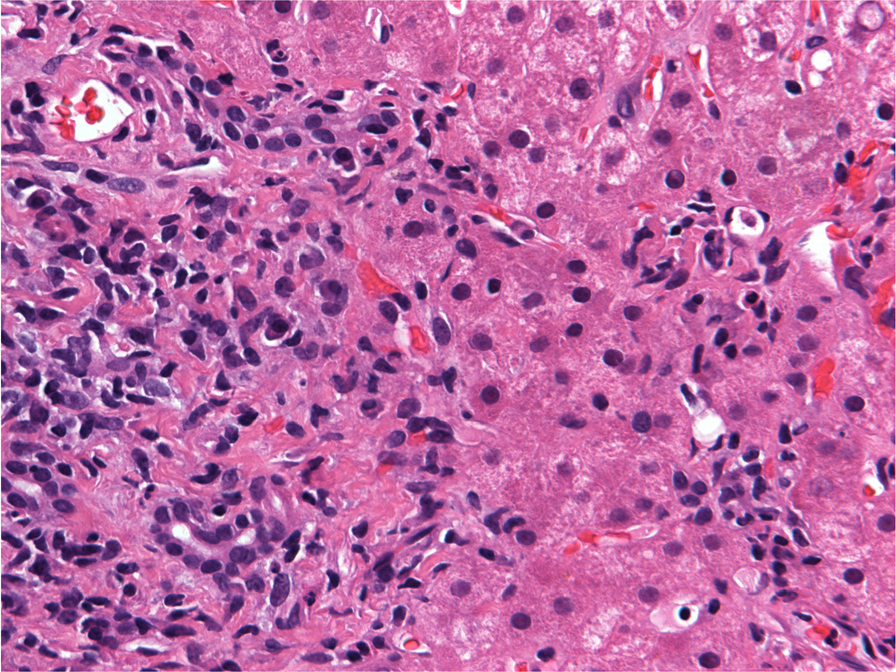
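This field shows liver with a portal tract on the left, heavily infiltrated by lymphocytes and plasma cells, bordering the liver parenchyma on the right. The infiltrate consists of small cells with round, dark purple nuclei and little cytoplasm. Among them are cells with off-center nuclei and more cytoplasm. These cells lie in pink fibrous stroma that also holds a small blood-filled vessel at the upper left. The infiltrate spills across the border and into the surrounding parenchyma, where small clusters sit between the hepatocytes. This is the picture of mild interface hepatitis. The hepatocytes are large and polygonal, with granular pink cytoplasm and round central nuclei, and narrow sinusoids containing red blood cells run between them.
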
